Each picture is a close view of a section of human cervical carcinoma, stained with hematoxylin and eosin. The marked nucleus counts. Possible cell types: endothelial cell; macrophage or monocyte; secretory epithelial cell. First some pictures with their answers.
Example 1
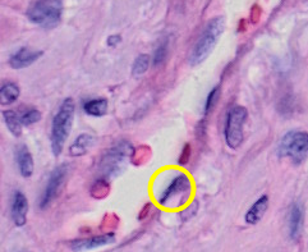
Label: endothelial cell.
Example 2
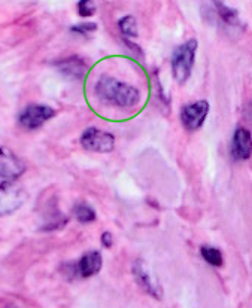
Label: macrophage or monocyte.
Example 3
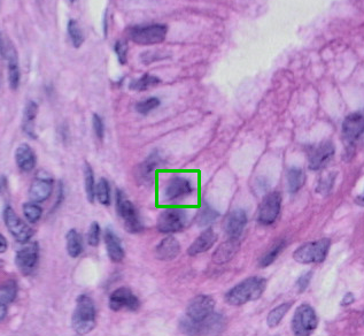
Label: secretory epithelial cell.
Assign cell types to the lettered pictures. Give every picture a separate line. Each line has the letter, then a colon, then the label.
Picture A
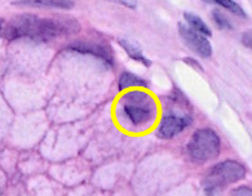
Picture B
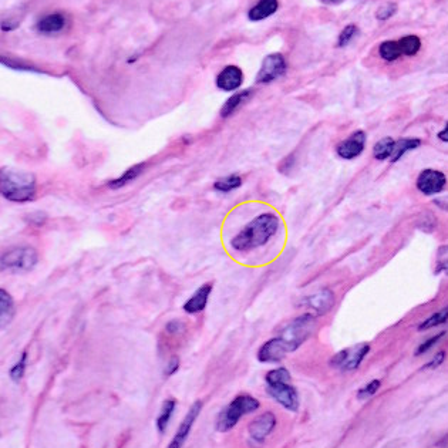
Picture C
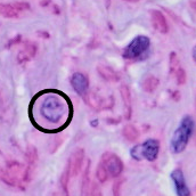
A: secretory epithelial cell.
B: macrophage or monocyte.
C: macrophage or monocyte.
